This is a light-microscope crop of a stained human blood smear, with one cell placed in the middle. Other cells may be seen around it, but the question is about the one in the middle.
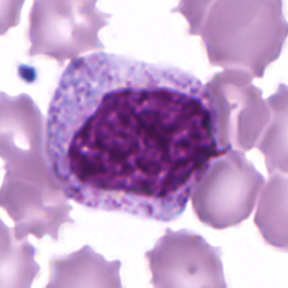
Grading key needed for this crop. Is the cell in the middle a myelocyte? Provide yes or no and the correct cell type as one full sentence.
Yes, the cell of interest in the middle is a myelocyte.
